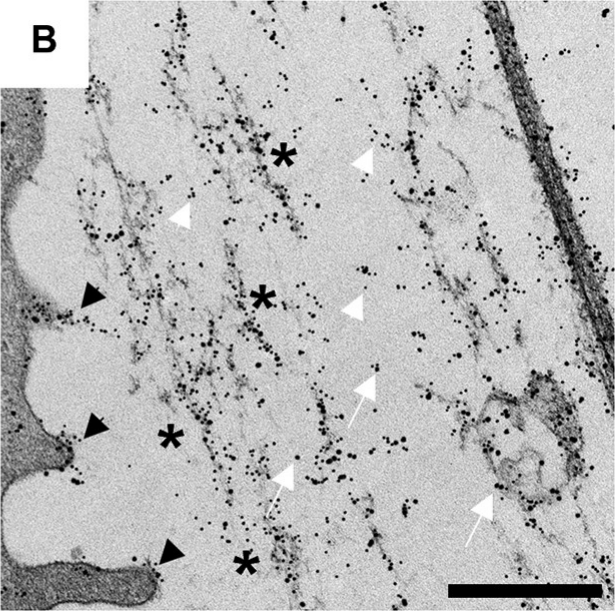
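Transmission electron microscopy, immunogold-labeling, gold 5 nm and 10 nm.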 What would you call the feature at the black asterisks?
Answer: Filamentous chromatin.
